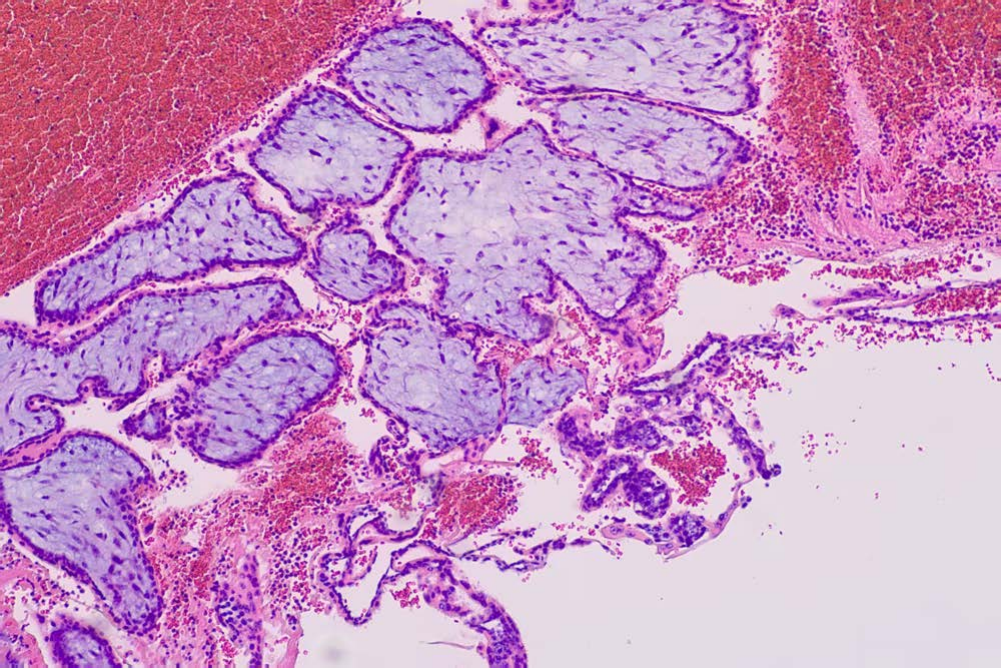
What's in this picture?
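Fragments of chorionic villi lie within a blood clot, cut in various planes as rounded, elongated and branching profiles. The villous cores are loose, pale bluish-purple and oedematous-looking, with scattered spindle-shaped and stellate stromal cells. Each villus is covered by a thin, continuous rim of cells with dark purple nuclei. Dense sheets of red blood cells surround the villi, with scattered nucleated cells among them.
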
